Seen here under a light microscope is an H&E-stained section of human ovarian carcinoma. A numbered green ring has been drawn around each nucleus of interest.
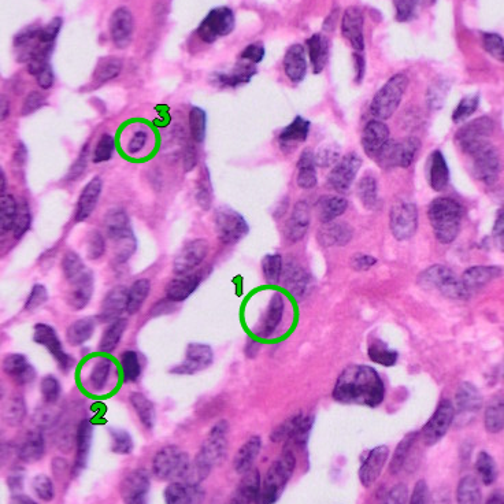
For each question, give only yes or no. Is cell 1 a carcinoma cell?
yes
